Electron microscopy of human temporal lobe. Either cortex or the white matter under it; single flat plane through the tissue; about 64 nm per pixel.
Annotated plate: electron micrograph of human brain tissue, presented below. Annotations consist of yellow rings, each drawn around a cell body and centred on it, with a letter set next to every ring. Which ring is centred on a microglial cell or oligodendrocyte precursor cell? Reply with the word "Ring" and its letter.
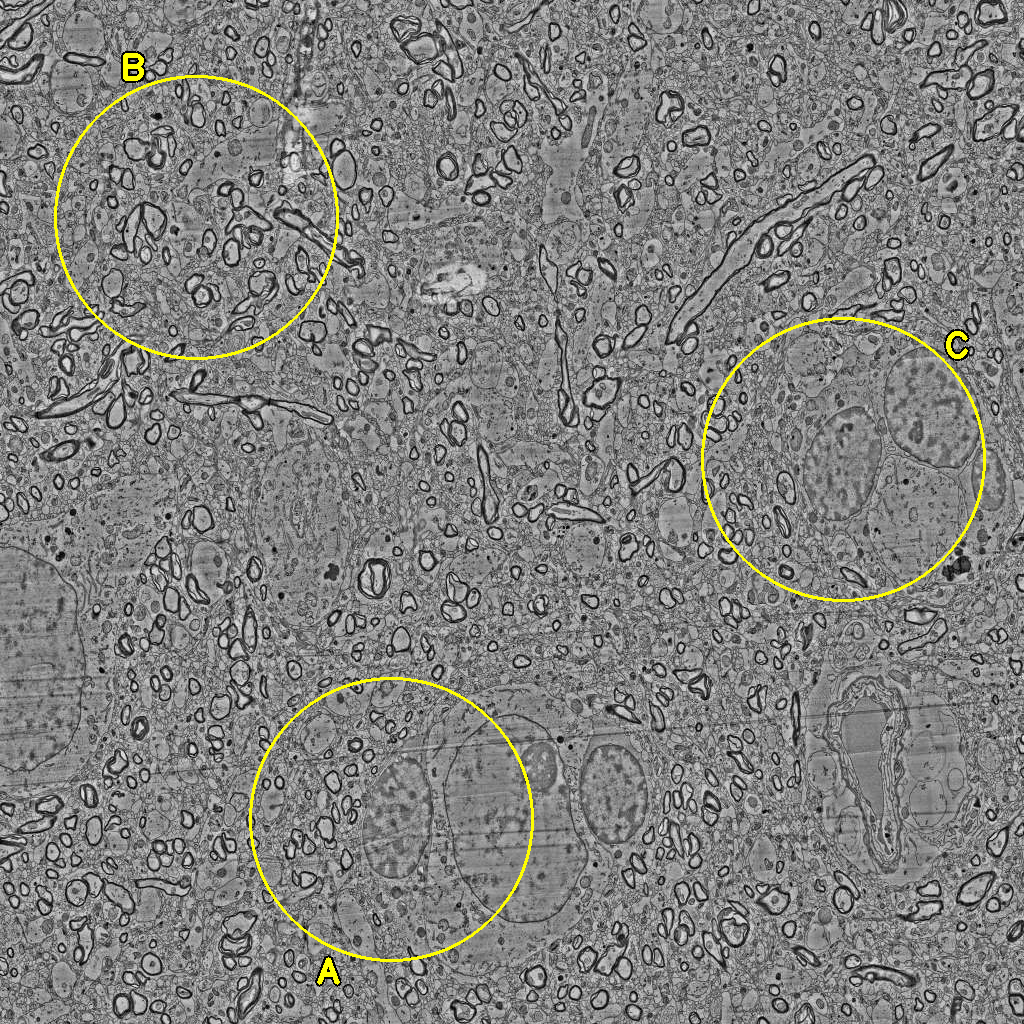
Ring B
